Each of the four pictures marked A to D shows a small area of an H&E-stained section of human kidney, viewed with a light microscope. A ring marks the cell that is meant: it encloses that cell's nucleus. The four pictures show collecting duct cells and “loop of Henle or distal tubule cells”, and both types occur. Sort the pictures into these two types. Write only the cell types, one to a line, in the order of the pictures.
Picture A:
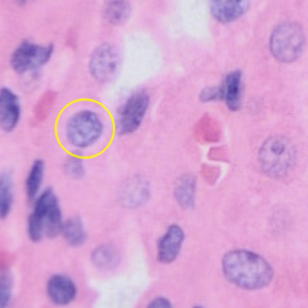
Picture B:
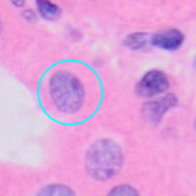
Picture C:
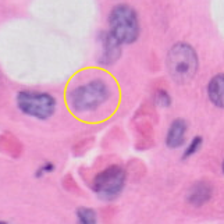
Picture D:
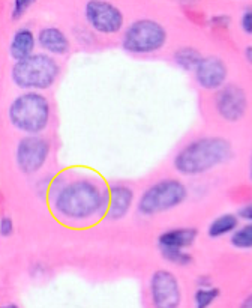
loop of Henle or distal tubule cell
loop of Henle or distal tubule cell
loop of Henle or distal tubule cell
collecting duct cell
